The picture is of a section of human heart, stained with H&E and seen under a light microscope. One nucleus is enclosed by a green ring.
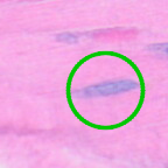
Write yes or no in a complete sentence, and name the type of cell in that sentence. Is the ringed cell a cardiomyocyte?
Yes, in terms of cell type, the ringed cell is a cardiomyocyte.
